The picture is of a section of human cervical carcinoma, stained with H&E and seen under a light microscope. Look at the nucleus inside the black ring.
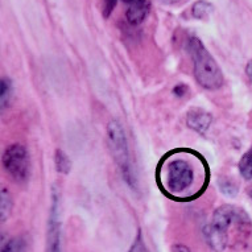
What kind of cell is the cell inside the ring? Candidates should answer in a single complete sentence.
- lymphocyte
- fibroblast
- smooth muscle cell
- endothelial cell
Placed in its cell category, the cell inside the ring is a lymphocyte.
